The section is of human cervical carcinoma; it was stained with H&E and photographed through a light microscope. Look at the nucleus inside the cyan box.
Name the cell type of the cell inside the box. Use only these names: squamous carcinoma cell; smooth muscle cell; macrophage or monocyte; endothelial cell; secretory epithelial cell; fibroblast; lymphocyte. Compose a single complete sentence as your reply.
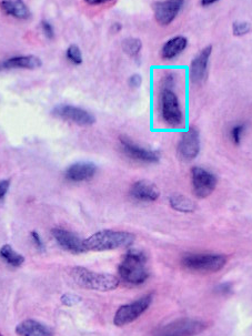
The correct response here is that the cell inside the box is a fibroblast.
